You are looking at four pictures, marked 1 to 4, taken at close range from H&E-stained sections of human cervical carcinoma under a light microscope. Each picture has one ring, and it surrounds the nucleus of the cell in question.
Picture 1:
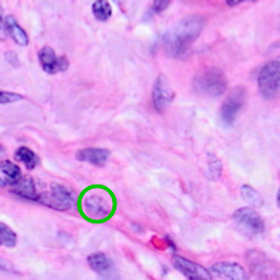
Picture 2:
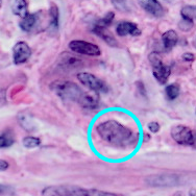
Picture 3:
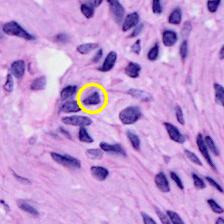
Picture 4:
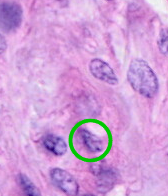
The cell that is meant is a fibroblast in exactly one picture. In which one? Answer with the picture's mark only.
3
